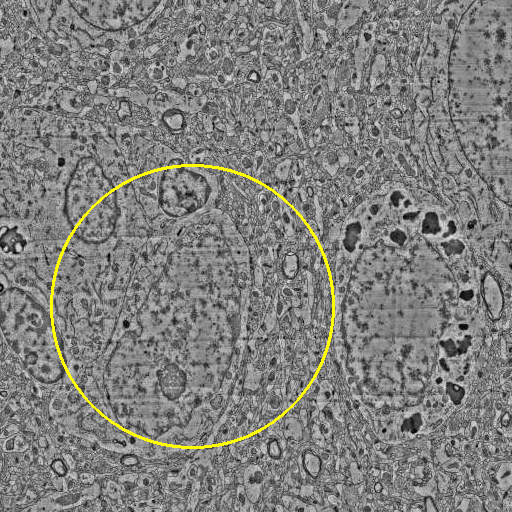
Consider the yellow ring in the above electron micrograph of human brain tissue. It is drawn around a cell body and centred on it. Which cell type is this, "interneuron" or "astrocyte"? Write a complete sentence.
The cell in question is an interneuron.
